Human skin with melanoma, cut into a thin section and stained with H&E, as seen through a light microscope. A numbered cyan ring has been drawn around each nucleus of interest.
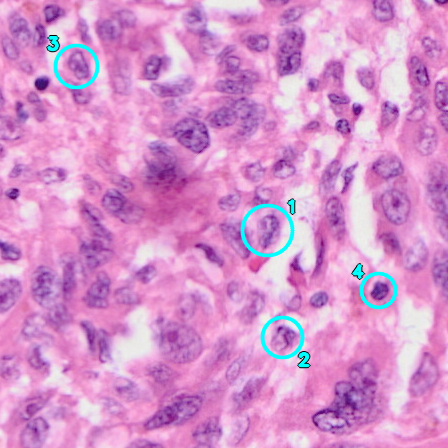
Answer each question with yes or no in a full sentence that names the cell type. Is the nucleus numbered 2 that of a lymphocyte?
No, cell 2 is to be read as a melanoma cell, not a lymphocyte.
